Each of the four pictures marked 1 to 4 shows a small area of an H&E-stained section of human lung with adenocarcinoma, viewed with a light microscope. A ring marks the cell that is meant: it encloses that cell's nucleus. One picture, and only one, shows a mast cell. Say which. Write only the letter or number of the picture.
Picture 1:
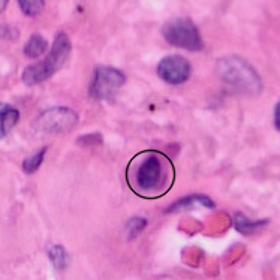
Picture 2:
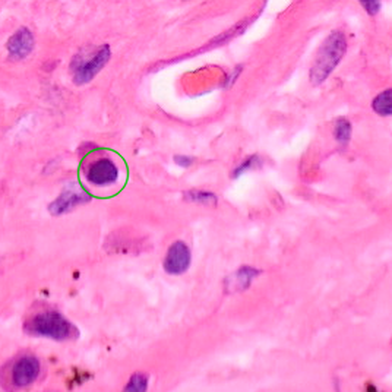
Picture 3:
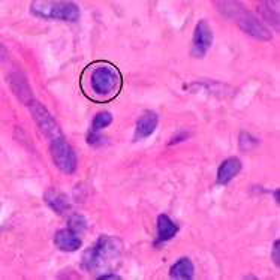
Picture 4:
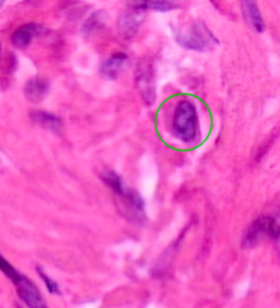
3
